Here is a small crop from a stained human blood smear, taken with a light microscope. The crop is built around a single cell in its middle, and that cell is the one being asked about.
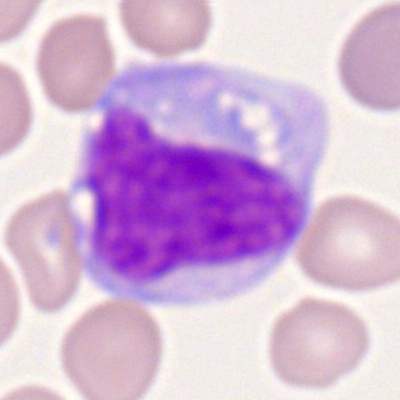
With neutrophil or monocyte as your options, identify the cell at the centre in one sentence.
The identification for the central cell is a monocyte.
